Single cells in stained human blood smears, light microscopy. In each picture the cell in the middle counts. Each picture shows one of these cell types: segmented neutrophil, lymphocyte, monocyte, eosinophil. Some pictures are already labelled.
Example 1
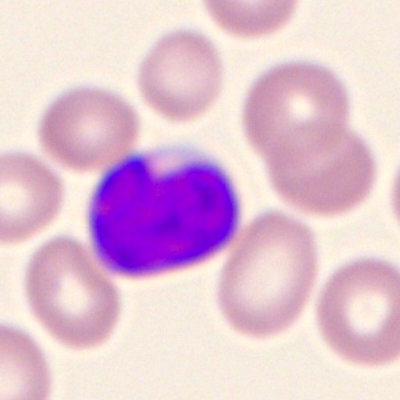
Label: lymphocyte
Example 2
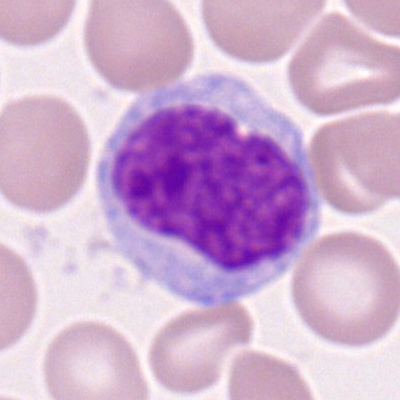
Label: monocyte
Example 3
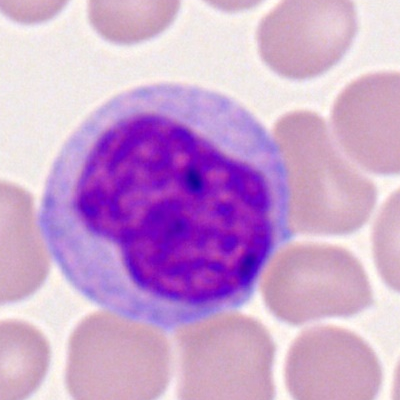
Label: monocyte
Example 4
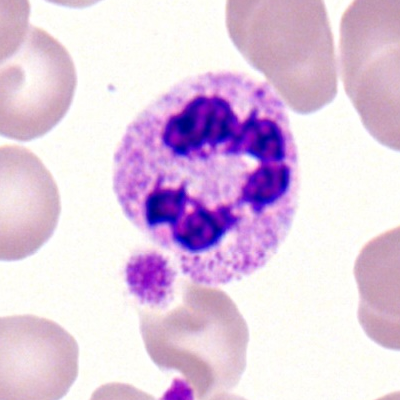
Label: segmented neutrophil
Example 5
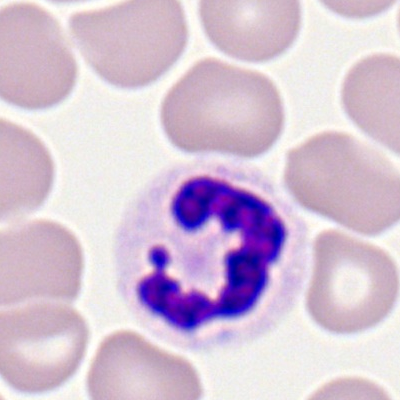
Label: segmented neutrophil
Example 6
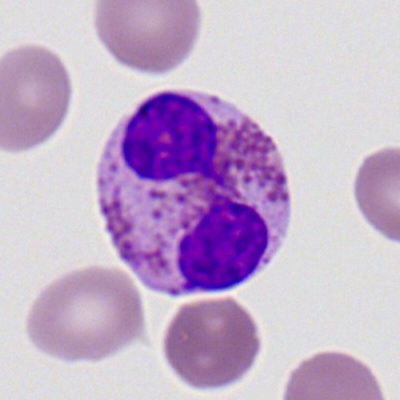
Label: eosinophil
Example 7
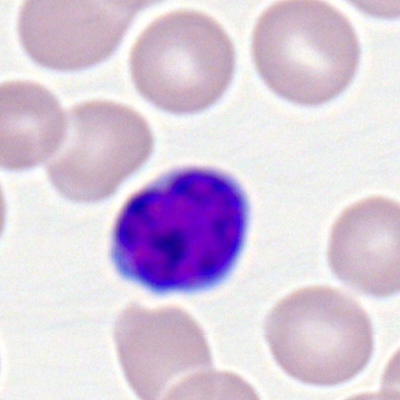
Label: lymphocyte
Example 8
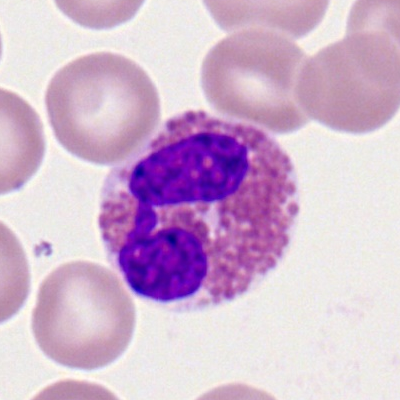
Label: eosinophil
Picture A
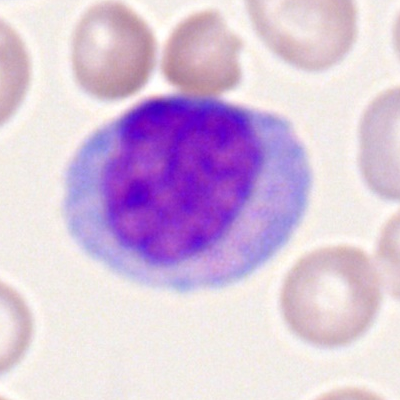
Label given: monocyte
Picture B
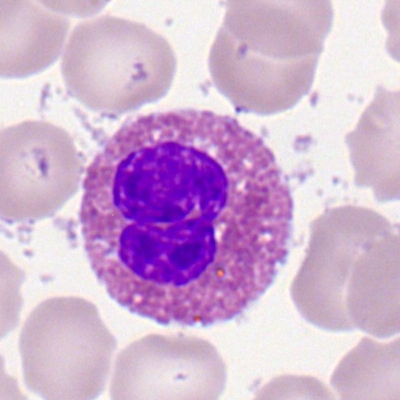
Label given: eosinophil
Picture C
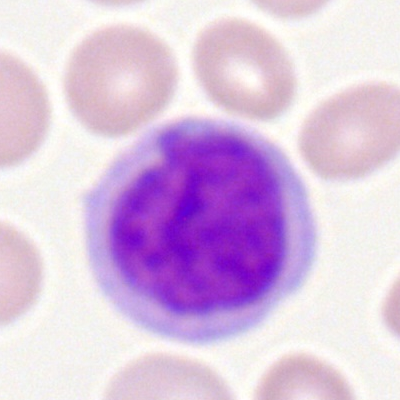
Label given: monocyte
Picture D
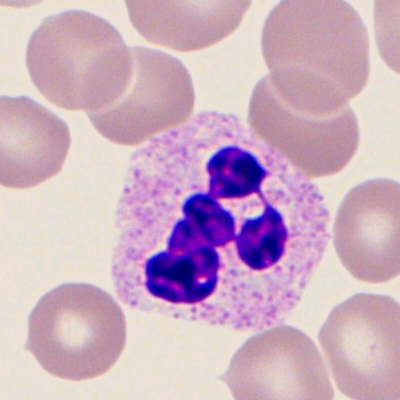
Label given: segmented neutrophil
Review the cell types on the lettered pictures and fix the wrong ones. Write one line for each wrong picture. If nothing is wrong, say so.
Nothing to fix; every label fits.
